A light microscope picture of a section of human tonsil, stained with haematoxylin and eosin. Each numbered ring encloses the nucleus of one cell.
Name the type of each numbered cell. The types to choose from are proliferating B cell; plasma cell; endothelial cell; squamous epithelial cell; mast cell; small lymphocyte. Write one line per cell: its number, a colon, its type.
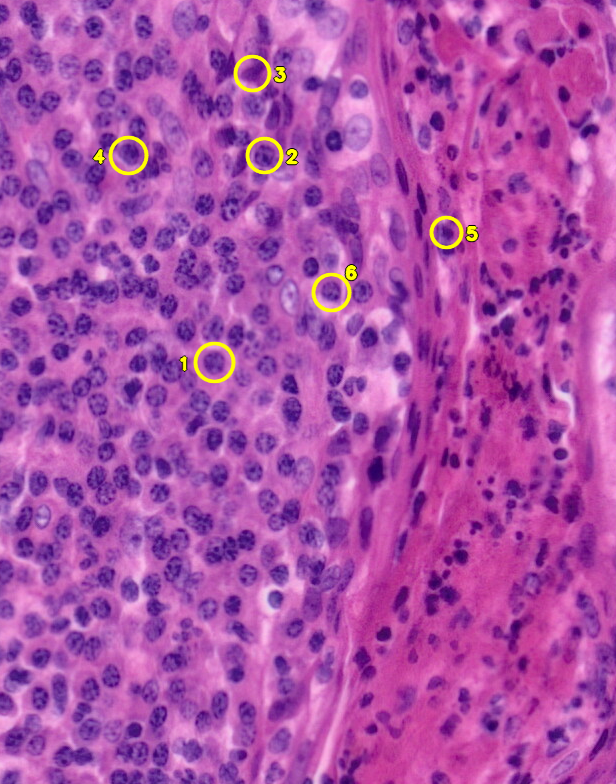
1: plasma cell
2: plasma cell
3: squamous epithelial cell
4: plasma cell
5: squamous epithelial cell
6: plasma cell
